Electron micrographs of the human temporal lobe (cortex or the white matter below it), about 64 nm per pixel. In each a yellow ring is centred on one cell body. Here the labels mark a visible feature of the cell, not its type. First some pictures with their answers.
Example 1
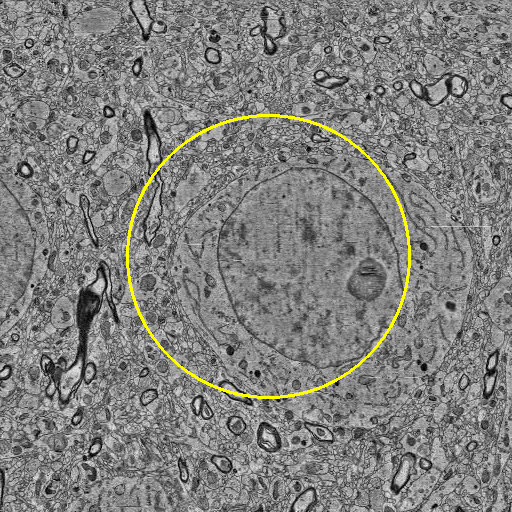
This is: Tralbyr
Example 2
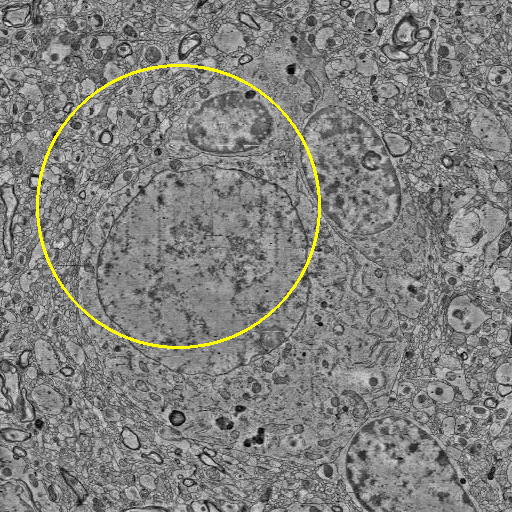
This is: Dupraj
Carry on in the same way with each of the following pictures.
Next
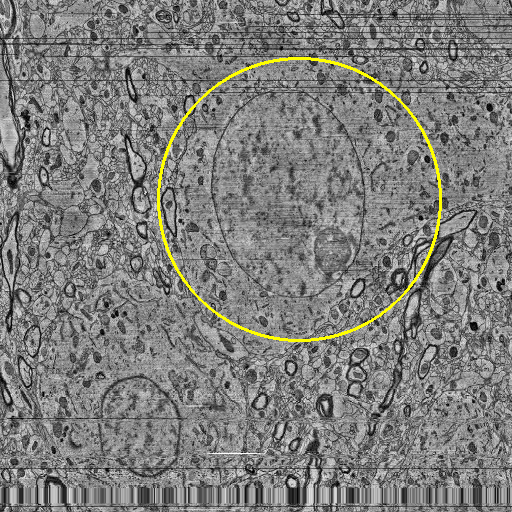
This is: Tralbyr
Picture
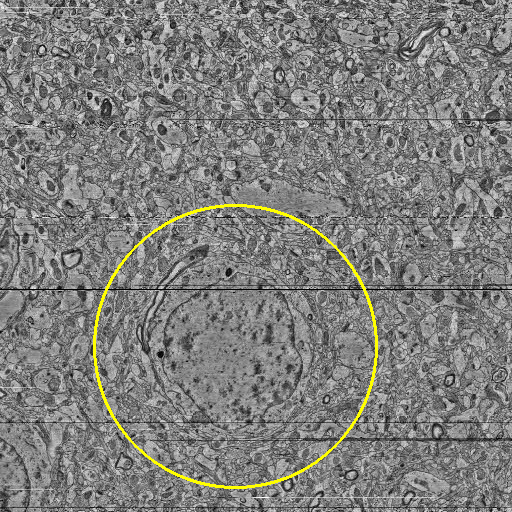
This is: Dupraj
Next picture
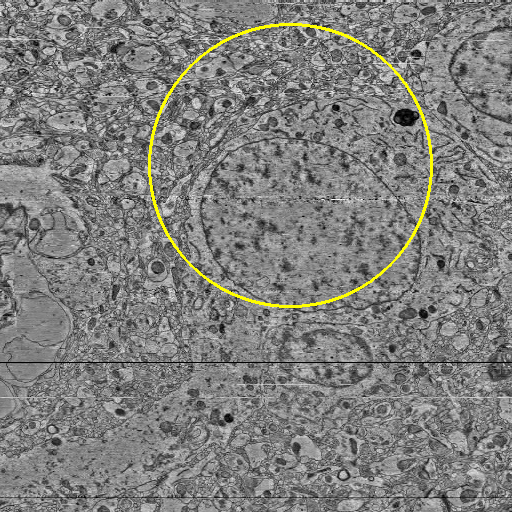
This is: Dupraj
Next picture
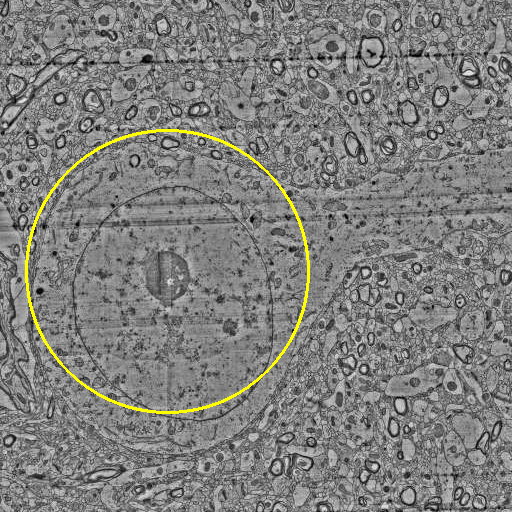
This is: Tralbyr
